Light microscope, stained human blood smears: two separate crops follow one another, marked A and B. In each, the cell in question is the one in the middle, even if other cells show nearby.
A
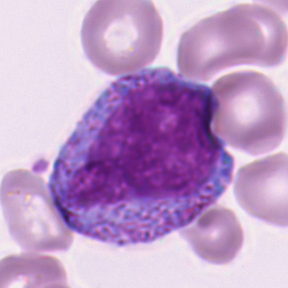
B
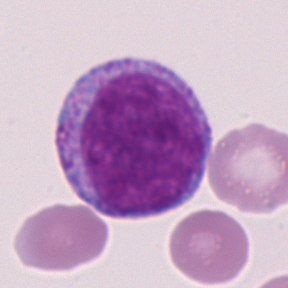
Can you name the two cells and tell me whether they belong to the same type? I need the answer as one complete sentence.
Yes, promyelocytes are the cells shown in both crops.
